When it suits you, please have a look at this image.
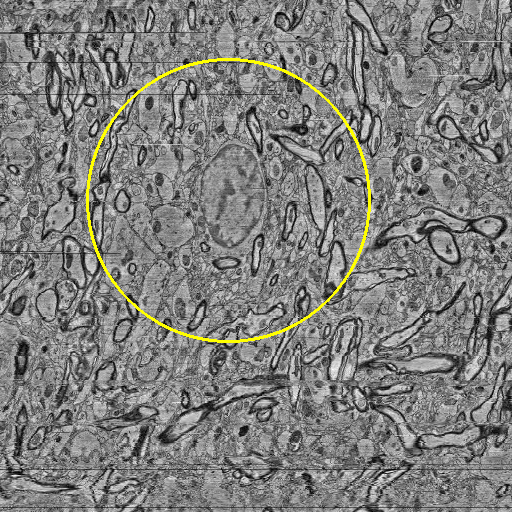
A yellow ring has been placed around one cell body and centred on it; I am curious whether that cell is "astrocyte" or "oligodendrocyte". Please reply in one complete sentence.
The ringed cell, an oligodendrocyte, has its body at the centre of the yellow ring.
